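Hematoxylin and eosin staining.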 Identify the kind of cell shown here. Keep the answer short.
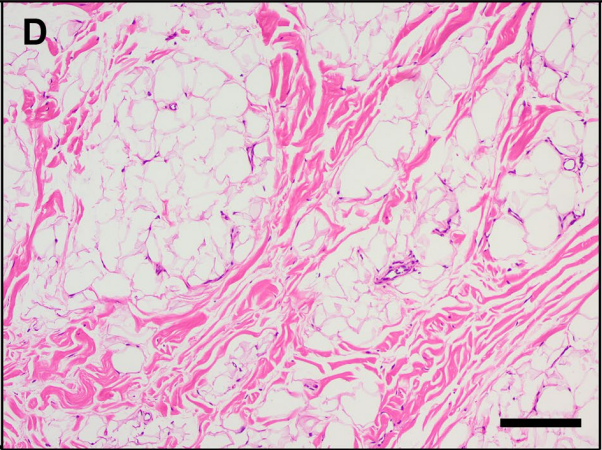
Mature adipocytes.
